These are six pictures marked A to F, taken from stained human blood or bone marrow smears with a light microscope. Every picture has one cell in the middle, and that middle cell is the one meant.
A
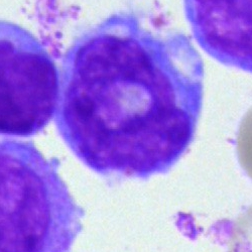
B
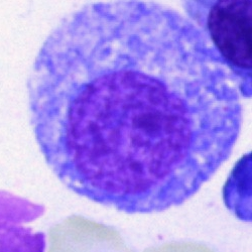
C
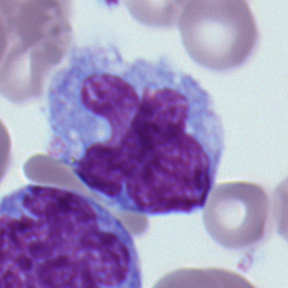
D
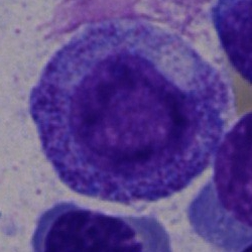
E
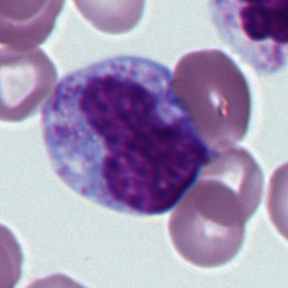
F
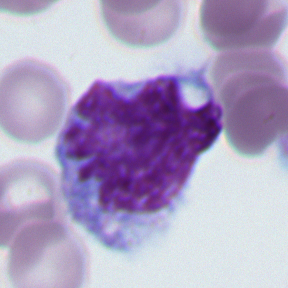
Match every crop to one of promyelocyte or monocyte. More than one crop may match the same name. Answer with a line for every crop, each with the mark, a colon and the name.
A: monocyte
B: promyelocyte
C: monocyte
D: promyelocyte
E: monocyte
F: monocyte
